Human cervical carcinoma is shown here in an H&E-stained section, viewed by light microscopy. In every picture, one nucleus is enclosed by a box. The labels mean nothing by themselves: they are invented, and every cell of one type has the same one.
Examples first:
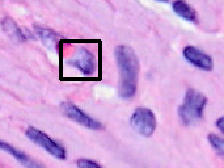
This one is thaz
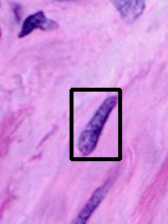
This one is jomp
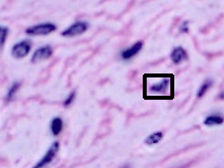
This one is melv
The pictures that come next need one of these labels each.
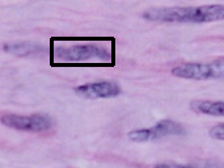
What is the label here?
melv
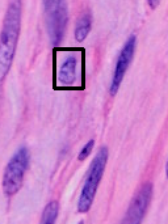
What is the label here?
melv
